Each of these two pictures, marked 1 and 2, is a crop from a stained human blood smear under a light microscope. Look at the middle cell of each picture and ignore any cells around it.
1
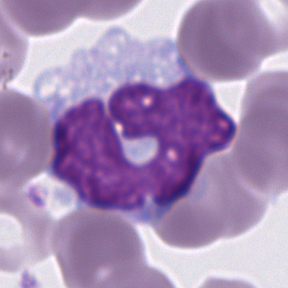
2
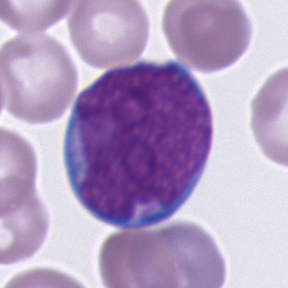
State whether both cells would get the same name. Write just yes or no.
no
